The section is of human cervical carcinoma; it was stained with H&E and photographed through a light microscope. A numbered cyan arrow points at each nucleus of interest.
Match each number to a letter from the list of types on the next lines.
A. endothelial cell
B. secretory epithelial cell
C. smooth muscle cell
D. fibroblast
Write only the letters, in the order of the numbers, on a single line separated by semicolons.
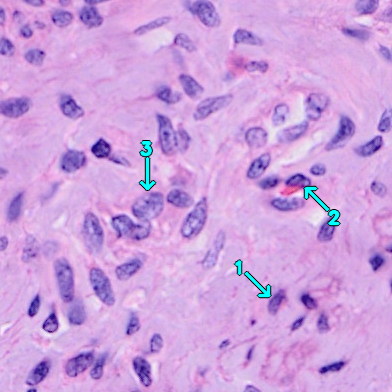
C; A; A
